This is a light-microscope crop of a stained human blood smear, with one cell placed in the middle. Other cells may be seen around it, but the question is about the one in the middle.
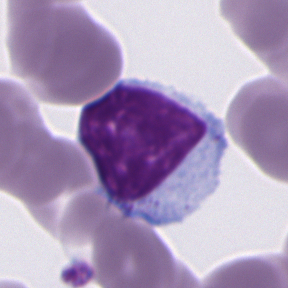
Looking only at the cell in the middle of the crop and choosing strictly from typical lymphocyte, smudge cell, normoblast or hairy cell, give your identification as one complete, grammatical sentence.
This crop's central cell is a typical lymphocyte.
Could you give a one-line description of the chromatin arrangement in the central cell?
This nucleus has coarsely clumped chromatin.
